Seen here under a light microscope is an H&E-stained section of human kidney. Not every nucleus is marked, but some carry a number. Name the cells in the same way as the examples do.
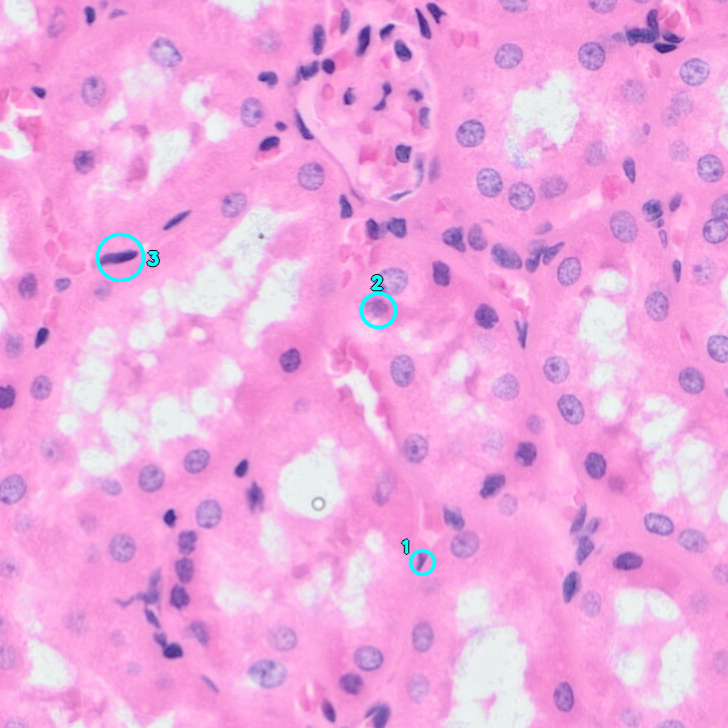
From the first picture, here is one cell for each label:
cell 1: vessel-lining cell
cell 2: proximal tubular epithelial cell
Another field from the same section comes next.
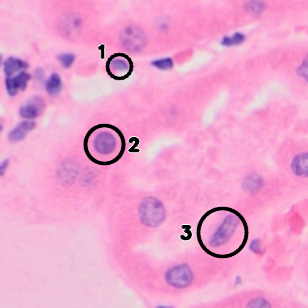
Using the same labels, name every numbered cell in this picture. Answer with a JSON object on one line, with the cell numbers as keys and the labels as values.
{"1": "vessel-lining cell", "2": "proximal tubular epithelial cell", "3": "proximal tubular epithelial cell"}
